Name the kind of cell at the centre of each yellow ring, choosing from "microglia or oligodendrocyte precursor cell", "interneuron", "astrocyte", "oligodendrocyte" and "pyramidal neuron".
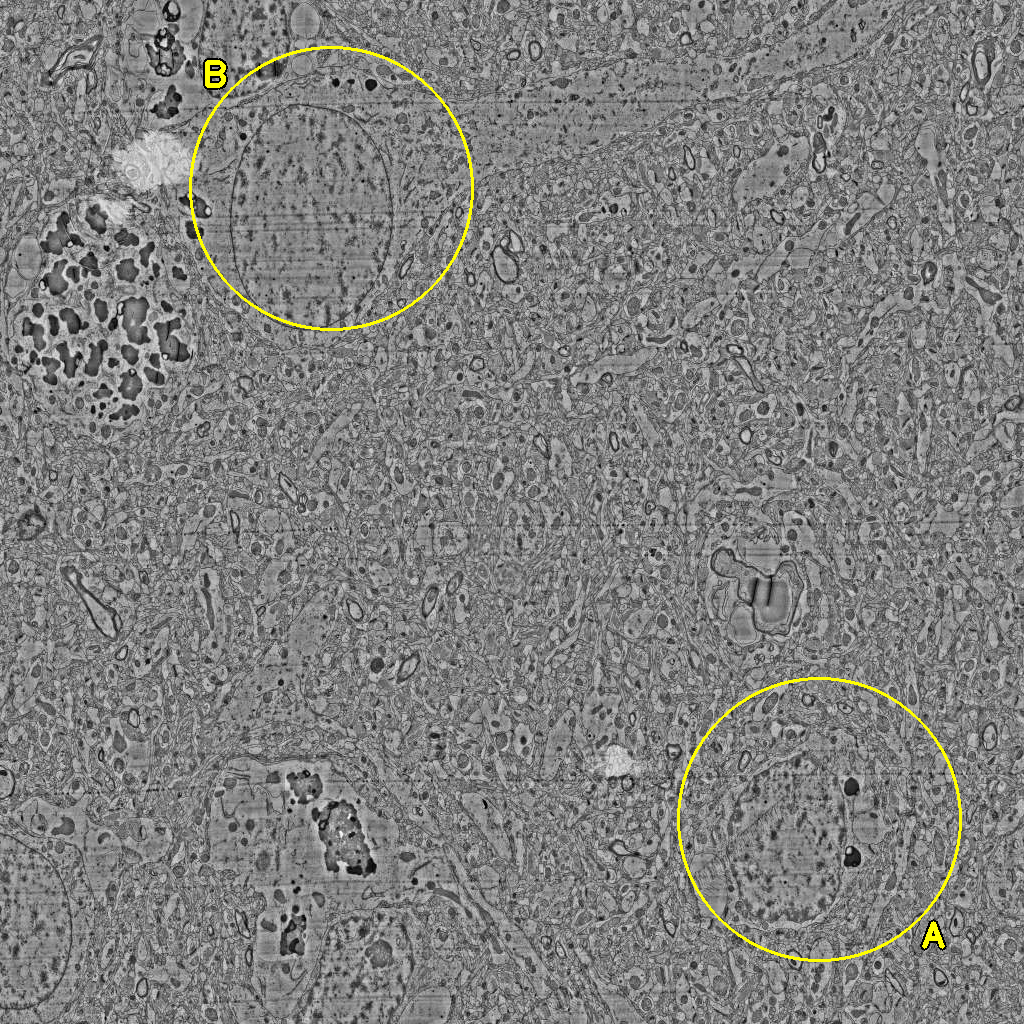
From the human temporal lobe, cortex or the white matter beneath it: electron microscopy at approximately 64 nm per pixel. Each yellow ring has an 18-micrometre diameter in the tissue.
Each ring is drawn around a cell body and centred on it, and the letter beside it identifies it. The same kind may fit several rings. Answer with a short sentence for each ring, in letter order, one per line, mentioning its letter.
Ring A is drawn around an interneuron.
Ring B is drawn around a pyramidal neuron.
